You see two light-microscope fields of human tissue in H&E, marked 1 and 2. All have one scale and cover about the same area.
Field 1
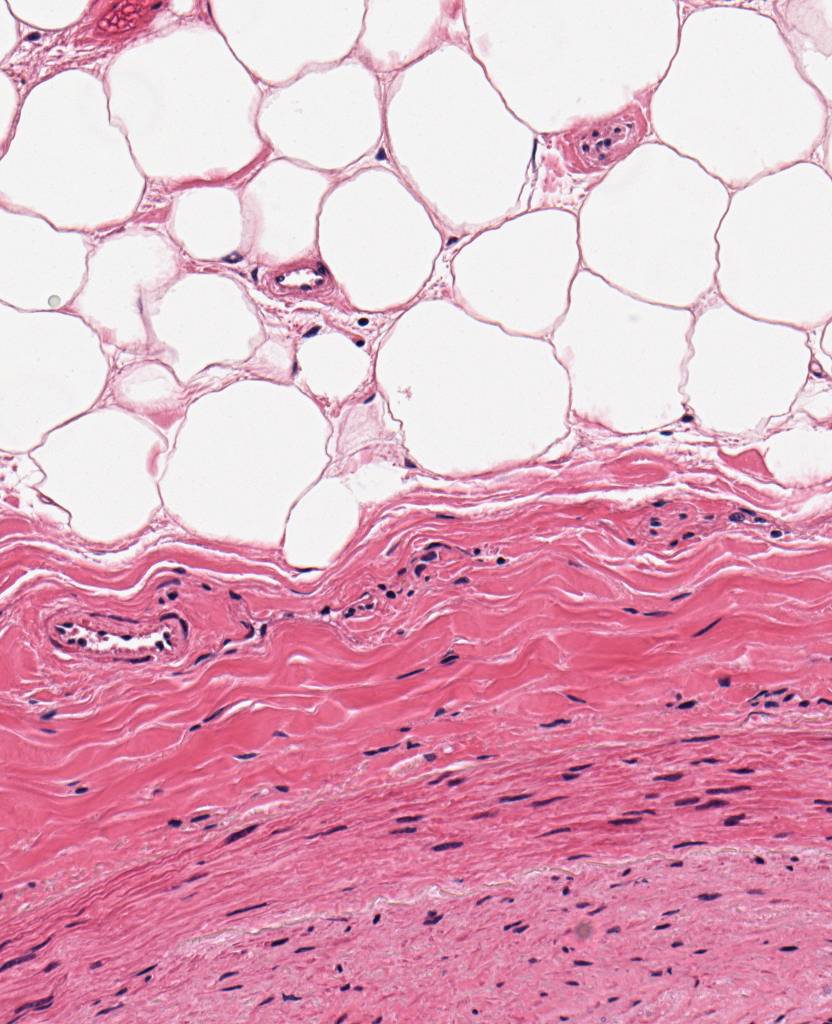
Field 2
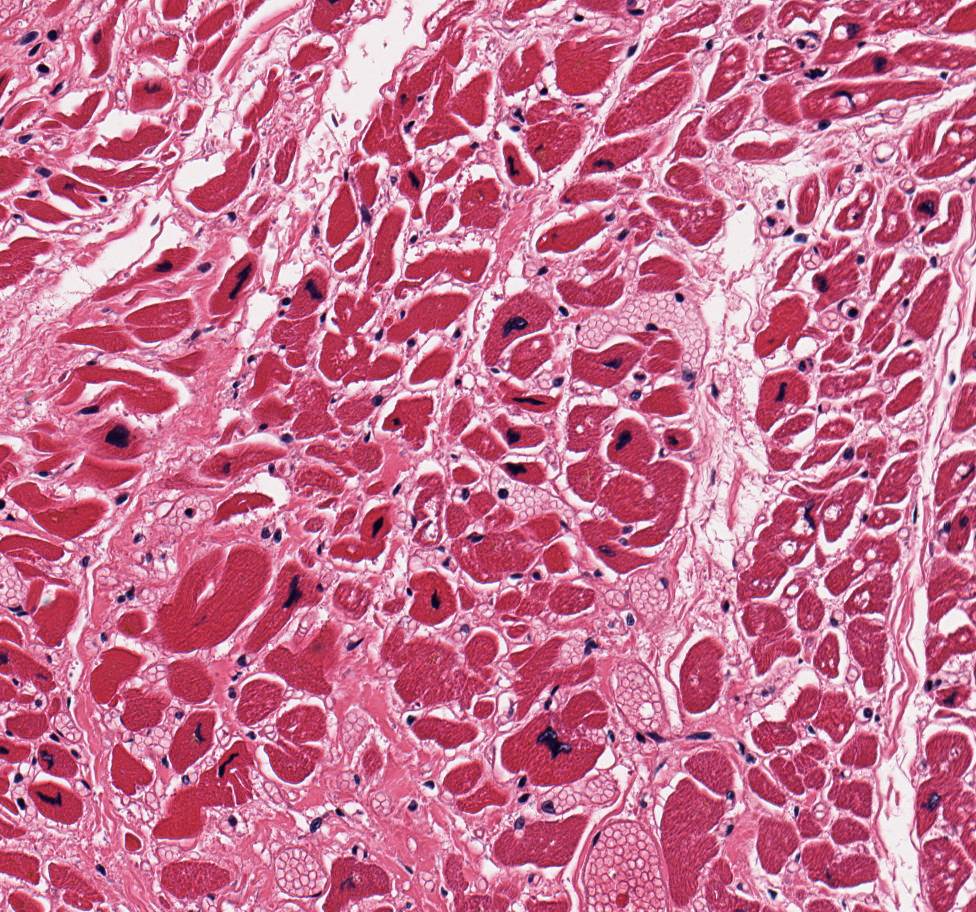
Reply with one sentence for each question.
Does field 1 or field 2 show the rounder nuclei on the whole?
It is field 2 whose nuclei are the rounder.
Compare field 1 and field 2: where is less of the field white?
Unstained space takes up less of field 2 than of field 1.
